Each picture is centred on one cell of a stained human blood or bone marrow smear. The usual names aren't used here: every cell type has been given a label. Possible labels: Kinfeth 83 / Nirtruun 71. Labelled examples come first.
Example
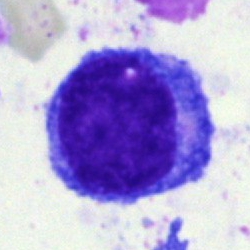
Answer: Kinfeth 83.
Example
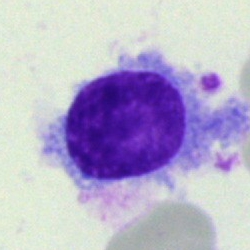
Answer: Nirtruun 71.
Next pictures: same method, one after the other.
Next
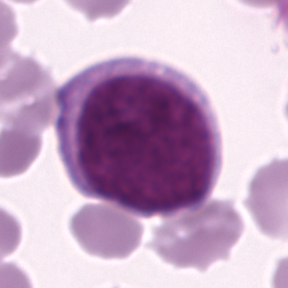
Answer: Kinfeth 83.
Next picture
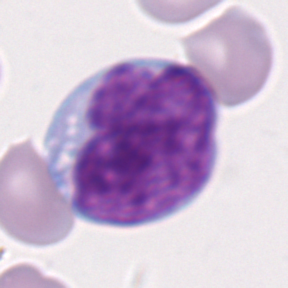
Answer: Kinfeth 83.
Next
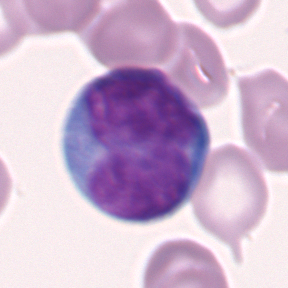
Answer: Kinfeth 83.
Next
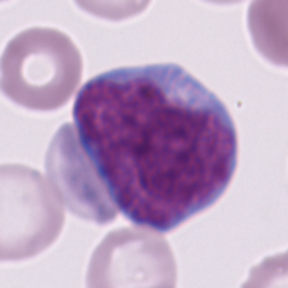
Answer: Kinfeth 83.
